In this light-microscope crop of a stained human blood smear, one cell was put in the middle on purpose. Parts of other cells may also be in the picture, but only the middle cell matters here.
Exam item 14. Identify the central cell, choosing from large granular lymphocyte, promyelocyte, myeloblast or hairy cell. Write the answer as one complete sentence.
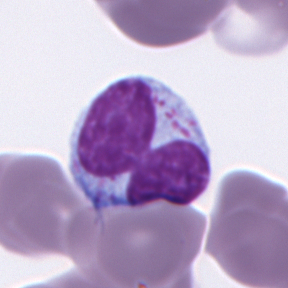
This crop's central cell is a large granular lymphocyte.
